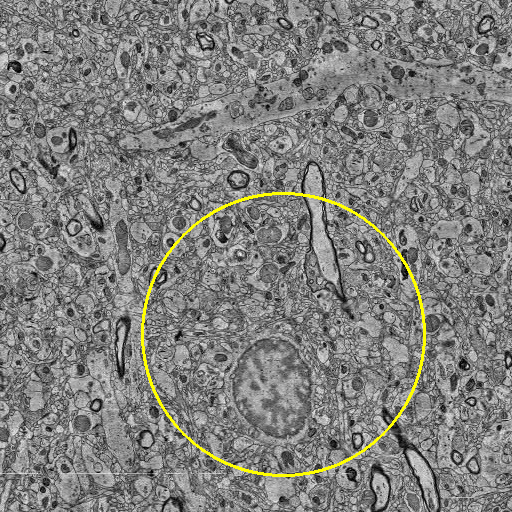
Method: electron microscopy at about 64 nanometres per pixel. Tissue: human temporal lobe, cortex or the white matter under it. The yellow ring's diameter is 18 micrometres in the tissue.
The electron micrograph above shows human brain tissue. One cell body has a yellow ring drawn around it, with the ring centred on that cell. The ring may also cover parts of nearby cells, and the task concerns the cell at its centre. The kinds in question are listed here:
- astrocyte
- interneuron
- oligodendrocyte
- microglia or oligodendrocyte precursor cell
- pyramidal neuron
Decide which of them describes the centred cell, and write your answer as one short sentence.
The centred cell is an oligodendrocyte.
